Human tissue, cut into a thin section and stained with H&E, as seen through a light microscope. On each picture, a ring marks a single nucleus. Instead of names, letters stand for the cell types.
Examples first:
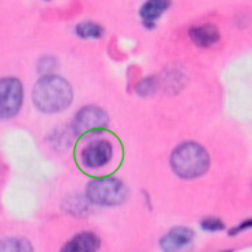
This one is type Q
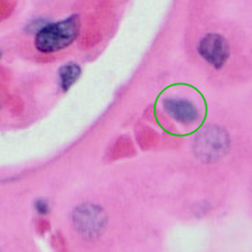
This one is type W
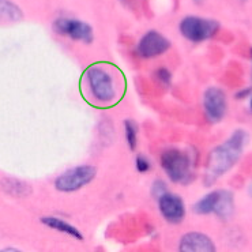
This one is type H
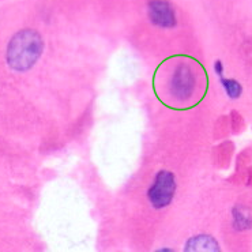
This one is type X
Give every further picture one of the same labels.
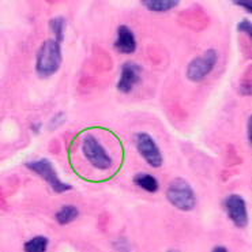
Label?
type W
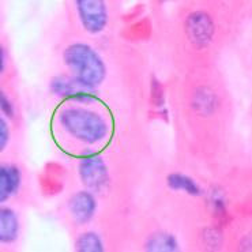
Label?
type Q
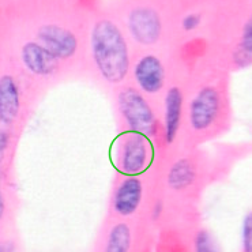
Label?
type Q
